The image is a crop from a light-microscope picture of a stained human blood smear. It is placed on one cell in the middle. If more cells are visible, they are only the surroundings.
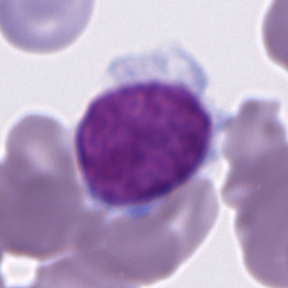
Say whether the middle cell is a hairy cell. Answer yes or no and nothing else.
yes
